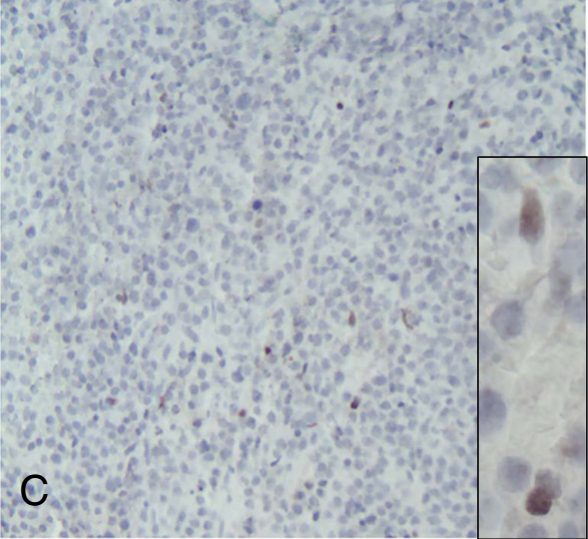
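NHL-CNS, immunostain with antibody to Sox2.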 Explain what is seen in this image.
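A densely cellular tumor is seen: a sheet of closely packed, fairly uniform cells with round to oval blue-counterstained nuclei and little visible cytoplasm, without an organised architecture. Among them lie sparse, scattered cells whose nuclei stain brown; they are few and spread apart across the field, some looking slightly elongated.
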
